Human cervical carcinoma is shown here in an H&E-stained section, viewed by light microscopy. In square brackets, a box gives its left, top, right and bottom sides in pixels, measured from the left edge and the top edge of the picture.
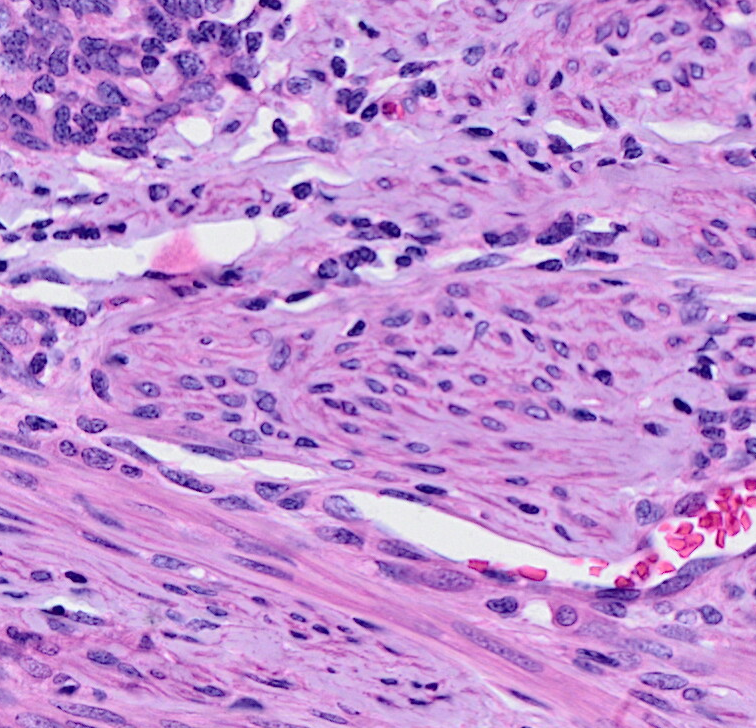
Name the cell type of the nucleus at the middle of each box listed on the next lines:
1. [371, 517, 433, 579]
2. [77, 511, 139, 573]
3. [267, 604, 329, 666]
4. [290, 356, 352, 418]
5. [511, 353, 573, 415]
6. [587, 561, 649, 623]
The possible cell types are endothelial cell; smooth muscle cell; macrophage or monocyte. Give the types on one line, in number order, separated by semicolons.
endothelial cell; smooth muscle cell; smooth muscle cell; smooth muscle cell; smooth muscle cell; endothelial cell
